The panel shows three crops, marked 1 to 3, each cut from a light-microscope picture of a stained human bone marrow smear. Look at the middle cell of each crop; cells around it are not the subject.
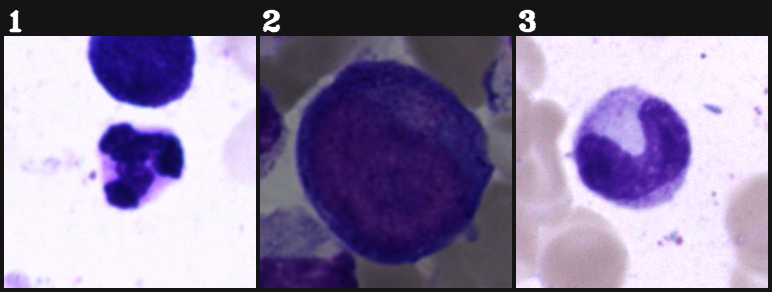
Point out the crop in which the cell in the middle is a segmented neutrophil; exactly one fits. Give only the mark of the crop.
1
